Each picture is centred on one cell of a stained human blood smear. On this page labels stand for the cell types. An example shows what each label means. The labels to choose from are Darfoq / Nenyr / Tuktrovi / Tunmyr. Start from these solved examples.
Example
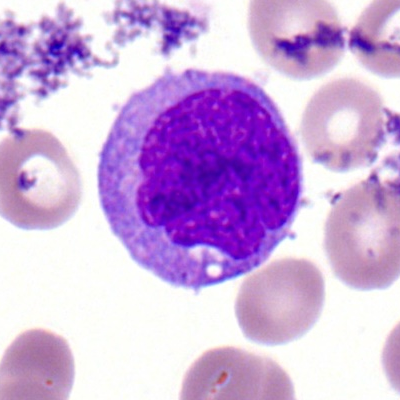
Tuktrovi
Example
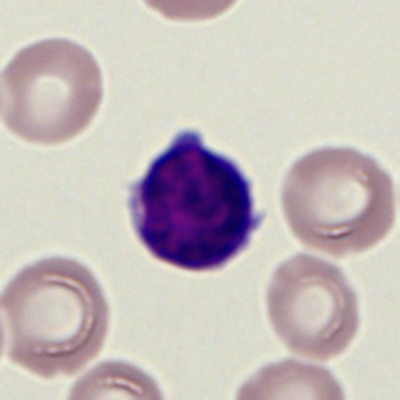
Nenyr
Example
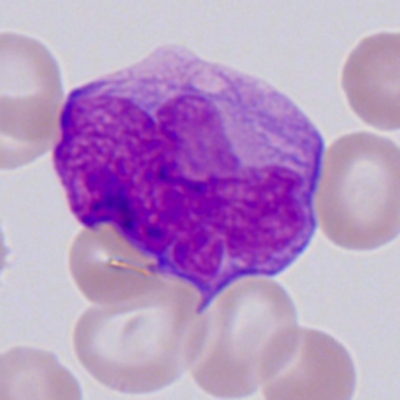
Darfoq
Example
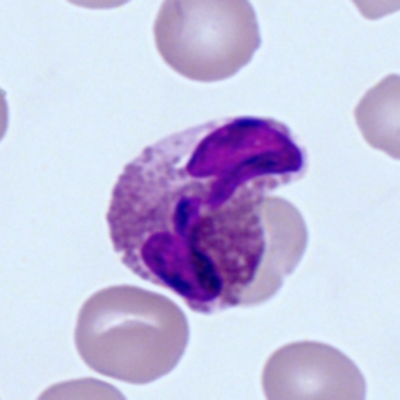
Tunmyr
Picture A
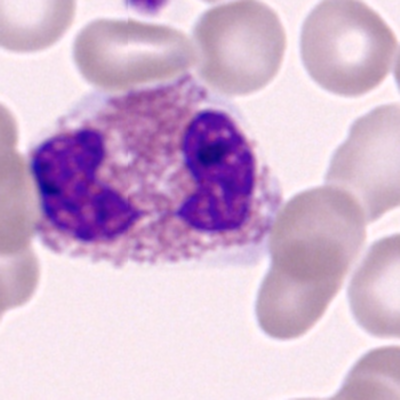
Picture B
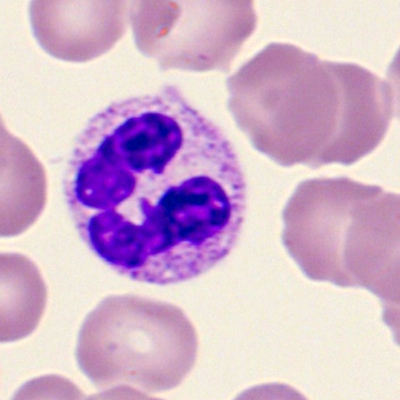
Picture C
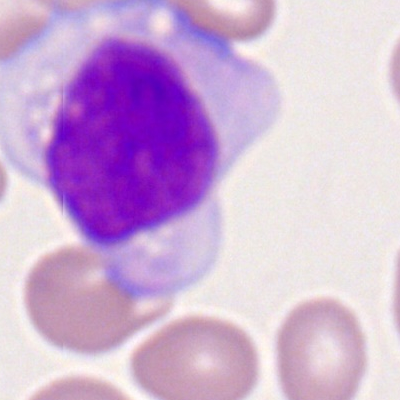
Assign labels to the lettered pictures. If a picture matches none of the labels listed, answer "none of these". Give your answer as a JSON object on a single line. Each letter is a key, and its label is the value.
{"A": "Tunmyr", "B": "none of these", "C": "Tuktrovi"}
